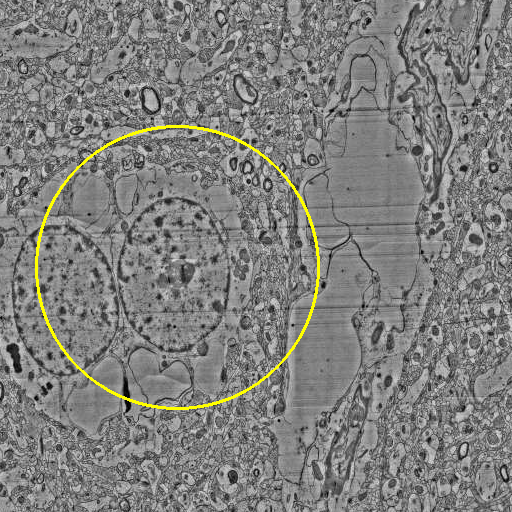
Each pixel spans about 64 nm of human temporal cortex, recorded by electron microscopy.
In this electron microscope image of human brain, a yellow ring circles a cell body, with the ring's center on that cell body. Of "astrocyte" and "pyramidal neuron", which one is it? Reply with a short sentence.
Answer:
It is an astrocyte at the center of the ring.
